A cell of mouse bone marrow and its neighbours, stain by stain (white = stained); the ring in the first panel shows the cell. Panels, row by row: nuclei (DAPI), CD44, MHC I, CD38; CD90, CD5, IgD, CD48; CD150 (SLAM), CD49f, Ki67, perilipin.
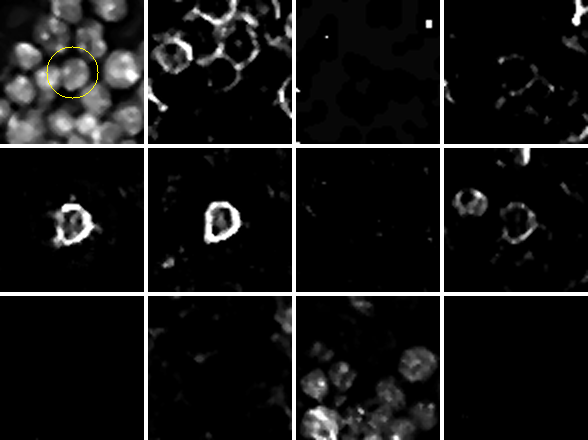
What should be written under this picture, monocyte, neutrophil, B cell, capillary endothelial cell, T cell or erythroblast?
T cell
